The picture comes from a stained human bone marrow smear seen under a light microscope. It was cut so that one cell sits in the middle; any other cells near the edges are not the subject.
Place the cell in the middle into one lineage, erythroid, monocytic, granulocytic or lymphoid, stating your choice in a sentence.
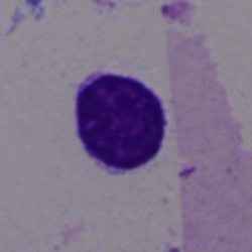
The cell at the center of this crop is categorized as lymphoid in lineage.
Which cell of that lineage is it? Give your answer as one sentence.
The cell centred in this crop is categorized as a lymphocyte.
